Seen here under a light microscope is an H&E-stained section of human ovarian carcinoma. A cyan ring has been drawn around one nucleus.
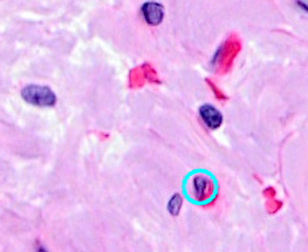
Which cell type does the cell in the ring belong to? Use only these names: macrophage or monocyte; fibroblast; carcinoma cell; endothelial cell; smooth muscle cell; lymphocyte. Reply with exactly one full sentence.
Among the cells in this section, the cell in the ring is an endothelial cell.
